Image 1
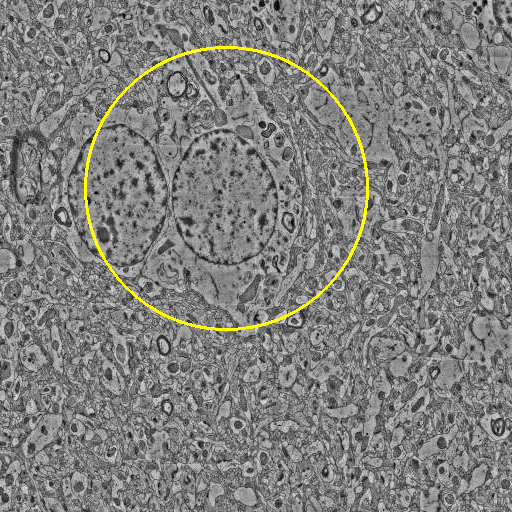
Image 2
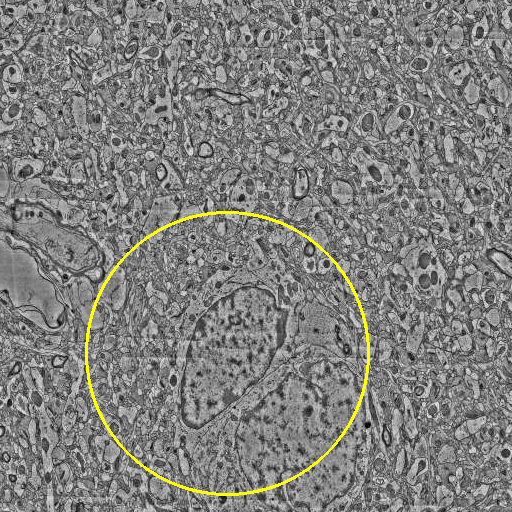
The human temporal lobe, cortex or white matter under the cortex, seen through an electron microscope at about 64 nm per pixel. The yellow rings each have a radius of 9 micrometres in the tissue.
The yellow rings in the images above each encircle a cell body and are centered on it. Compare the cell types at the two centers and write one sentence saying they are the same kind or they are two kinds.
Taken together, the two cells at the ring centers are two kinds.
